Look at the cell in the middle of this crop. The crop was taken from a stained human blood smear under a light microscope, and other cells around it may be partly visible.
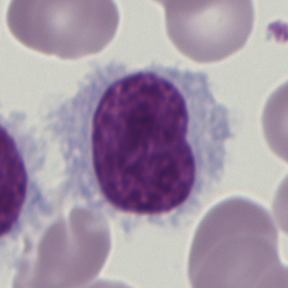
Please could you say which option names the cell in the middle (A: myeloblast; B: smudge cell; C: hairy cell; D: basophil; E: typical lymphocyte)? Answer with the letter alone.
C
